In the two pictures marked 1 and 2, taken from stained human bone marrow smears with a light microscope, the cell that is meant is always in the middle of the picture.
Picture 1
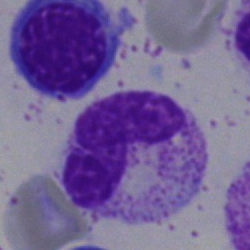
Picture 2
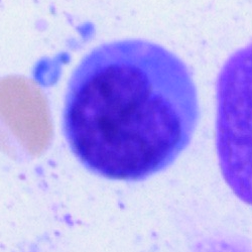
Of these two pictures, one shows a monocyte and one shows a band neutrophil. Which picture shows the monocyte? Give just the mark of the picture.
2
